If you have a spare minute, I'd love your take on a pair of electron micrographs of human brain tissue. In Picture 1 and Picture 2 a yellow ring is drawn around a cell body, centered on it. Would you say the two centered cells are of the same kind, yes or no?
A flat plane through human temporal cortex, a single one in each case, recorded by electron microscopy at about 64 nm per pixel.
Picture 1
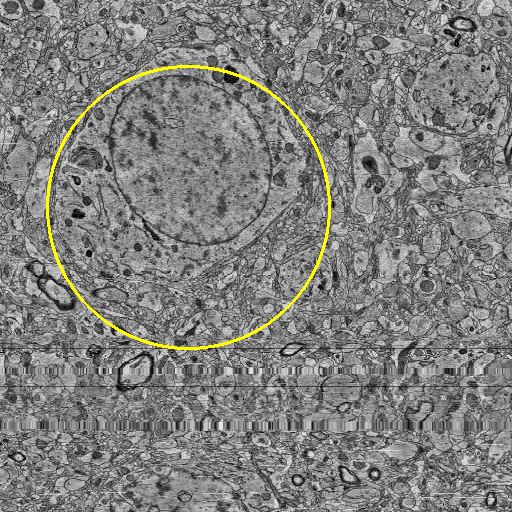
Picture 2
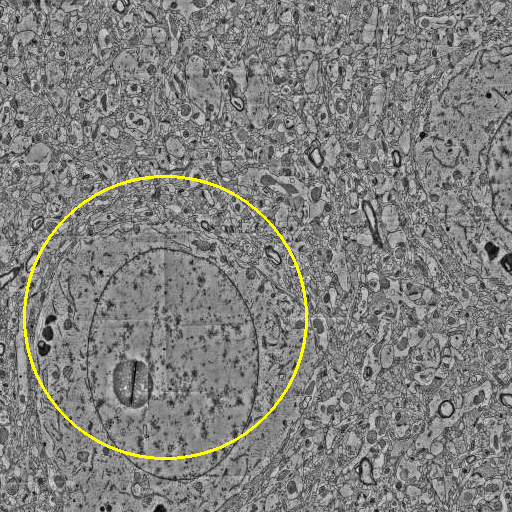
yes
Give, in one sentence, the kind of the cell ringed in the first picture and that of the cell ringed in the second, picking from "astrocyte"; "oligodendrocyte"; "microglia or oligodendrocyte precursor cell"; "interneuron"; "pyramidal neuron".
Each of the two pictures has a pyramidal neuron at the ring centre.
